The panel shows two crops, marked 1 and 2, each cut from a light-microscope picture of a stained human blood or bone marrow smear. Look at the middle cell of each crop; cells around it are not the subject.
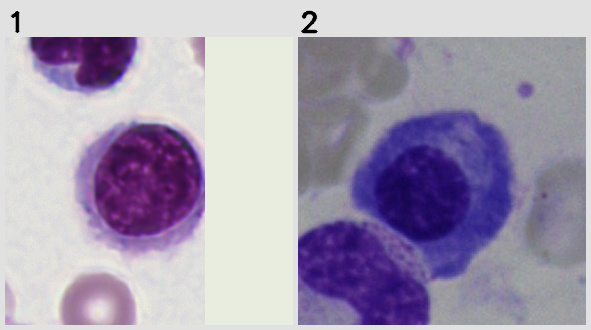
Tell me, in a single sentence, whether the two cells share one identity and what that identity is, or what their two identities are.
Yes, at the centre of both crops are plasma cells.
